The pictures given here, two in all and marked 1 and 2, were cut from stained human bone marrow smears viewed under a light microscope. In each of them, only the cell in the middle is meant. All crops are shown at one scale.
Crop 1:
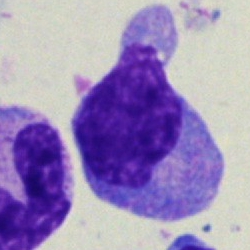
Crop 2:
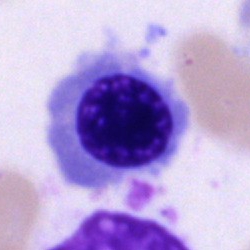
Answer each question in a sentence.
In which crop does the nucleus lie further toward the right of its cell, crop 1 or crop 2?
The nucleus in crop 2 lies further toward the right of its cell.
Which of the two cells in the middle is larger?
It is the cell in crop 1, about 1.5 times as large in area as the cell in crop 2.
